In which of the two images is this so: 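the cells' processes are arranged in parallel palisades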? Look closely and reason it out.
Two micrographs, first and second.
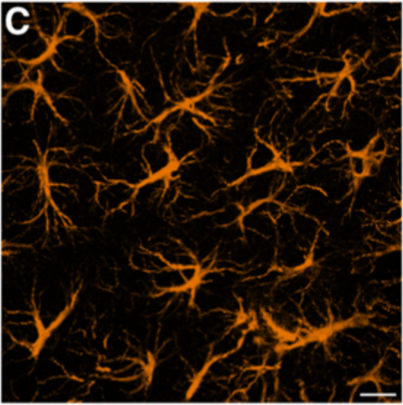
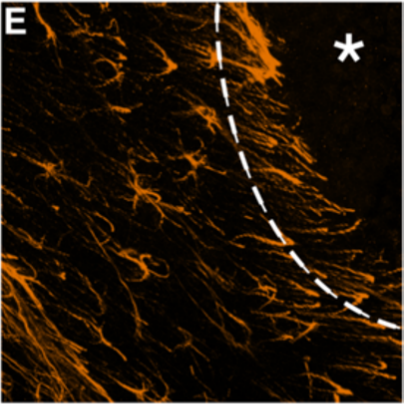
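Second image: long orange processes run side by side in one direction toward a dashed line. First image: orange cells have short processes radiating in all directions, with no shared orientation.
Answer: the second image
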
